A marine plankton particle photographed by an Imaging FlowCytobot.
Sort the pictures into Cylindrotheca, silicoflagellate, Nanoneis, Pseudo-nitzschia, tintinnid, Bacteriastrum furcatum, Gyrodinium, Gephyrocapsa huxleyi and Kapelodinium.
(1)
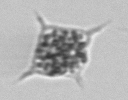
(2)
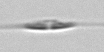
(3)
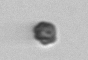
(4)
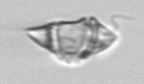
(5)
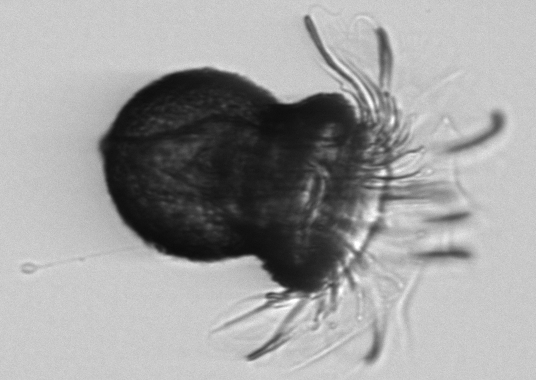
Silicoflagellates: 1
Cylindrotheca: 2
Gephyrocapsa huxleyi: 3
Gyrodinium: 4
Tintinnids: 5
